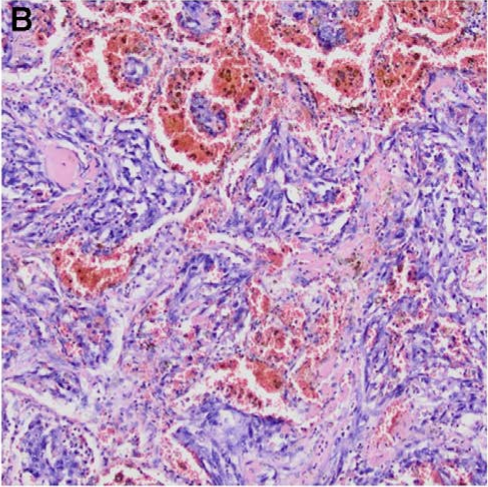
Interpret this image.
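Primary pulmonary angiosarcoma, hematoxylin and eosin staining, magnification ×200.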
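Malignant tumor tissue of plump atypical cells arranged in disorderly sheets and bundles around irregular spaces filled with red blood cells. Cells crowd against and line the blood-filled spaces without forming orderly vessels. Some brownish pigment lies among the red cells in the blood lakes. Pale pink acellular material separates some cell groups. The arrangement is chaotic and nuclear atypia is marked.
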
